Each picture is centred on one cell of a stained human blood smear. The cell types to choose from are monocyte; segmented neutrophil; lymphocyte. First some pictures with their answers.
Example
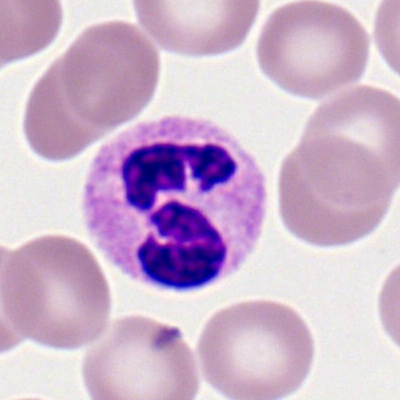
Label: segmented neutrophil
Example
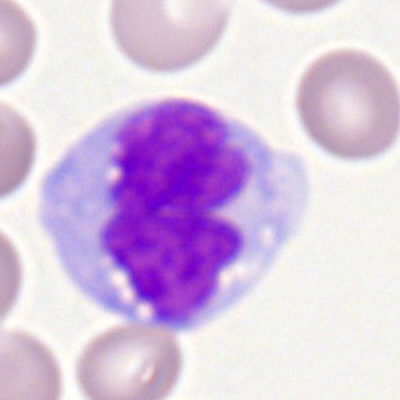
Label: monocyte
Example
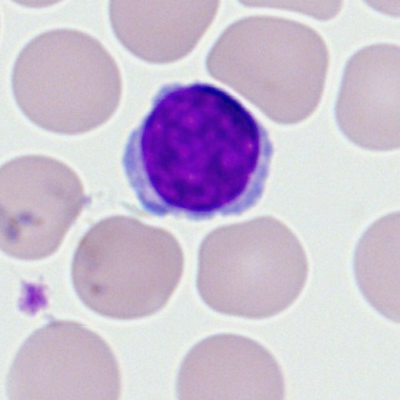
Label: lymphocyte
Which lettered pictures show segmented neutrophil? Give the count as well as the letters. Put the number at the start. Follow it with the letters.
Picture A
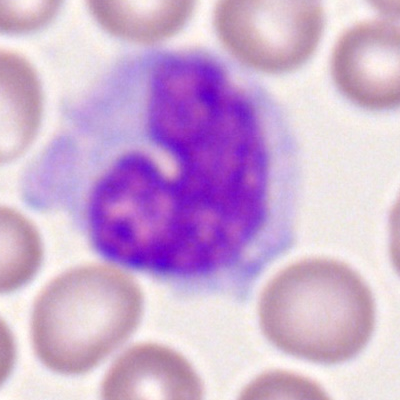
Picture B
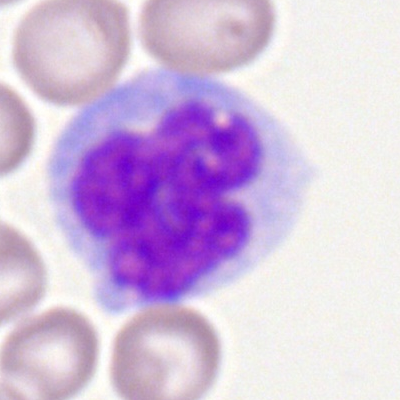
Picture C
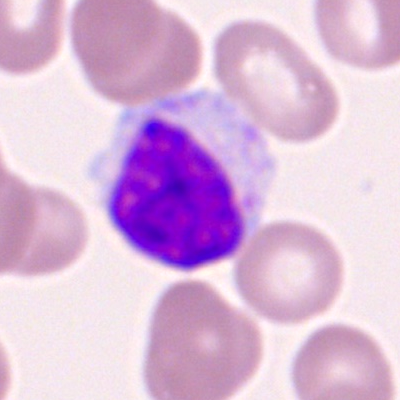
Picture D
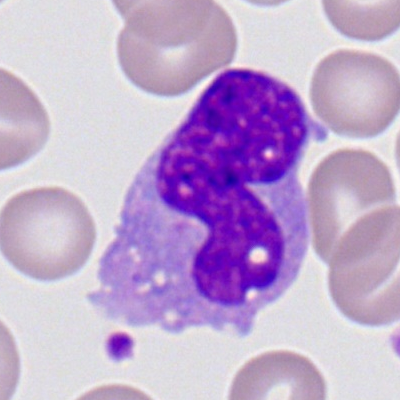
0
